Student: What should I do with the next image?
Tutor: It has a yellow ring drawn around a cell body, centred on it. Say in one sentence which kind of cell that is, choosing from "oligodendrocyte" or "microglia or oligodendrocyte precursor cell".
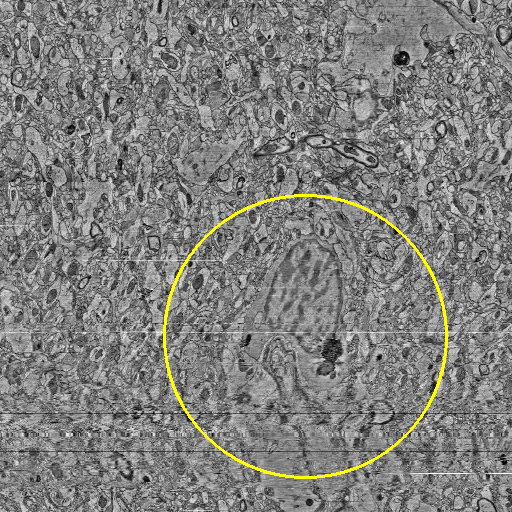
The ring's centre is occupied by an oligodendrocyte.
